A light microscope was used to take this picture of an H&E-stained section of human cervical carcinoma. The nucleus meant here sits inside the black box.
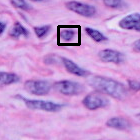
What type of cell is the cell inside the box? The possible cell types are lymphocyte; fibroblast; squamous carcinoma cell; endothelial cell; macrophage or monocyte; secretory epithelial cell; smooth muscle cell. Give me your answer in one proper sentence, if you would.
In the stained section, the cell inside the box is a smooth muscle cell.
